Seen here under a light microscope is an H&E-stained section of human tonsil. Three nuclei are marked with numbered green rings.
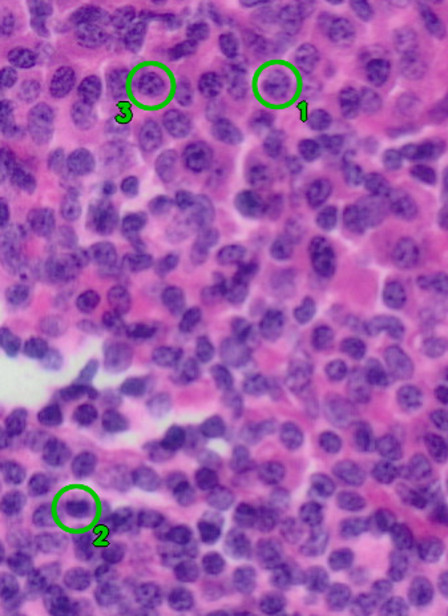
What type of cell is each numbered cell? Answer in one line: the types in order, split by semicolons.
plasma cell; small lymphocyte; plasma cell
